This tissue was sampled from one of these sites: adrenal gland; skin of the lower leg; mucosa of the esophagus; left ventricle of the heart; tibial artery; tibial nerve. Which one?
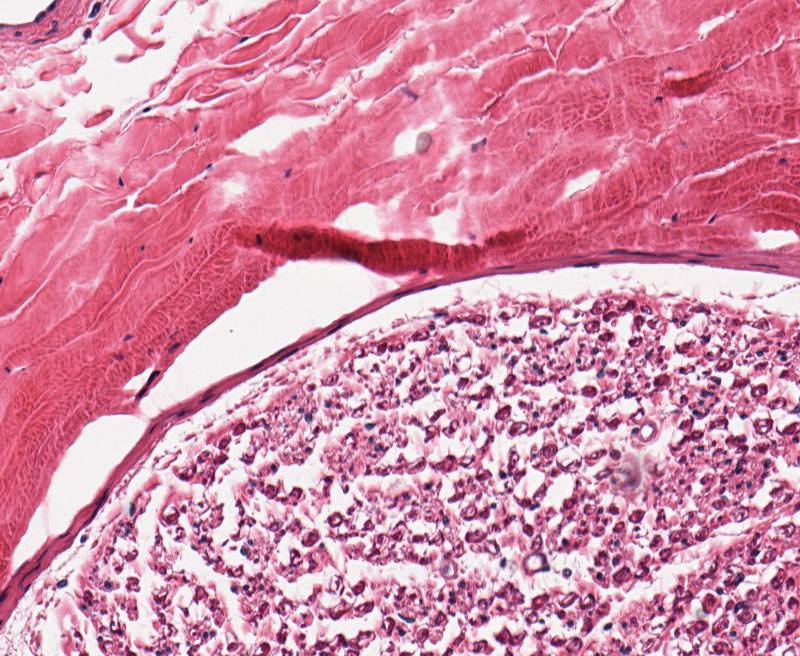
tibial nerve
